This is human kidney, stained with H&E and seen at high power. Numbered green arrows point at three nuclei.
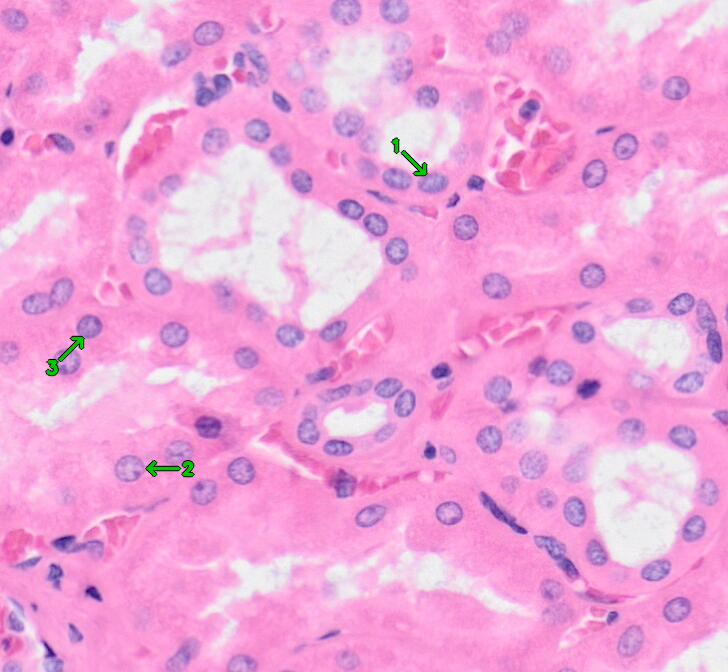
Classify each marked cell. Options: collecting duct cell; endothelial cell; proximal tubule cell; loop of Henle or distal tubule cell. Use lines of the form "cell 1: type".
cell 1: loop of Henle or distal tubule cell
cell 2: proximal tubule cell
cell 3: proximal tubule cell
